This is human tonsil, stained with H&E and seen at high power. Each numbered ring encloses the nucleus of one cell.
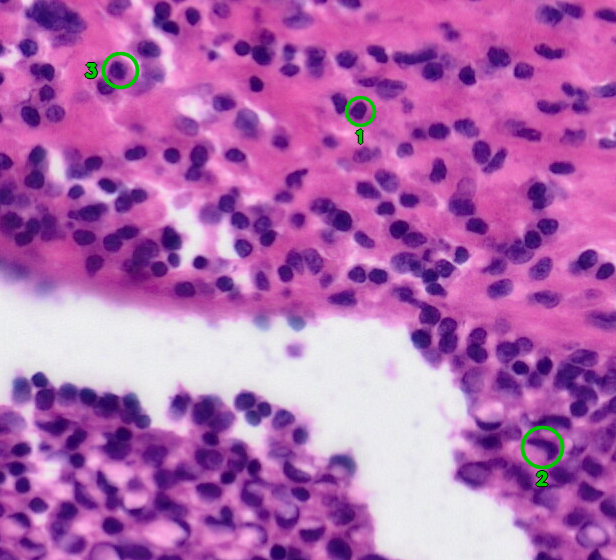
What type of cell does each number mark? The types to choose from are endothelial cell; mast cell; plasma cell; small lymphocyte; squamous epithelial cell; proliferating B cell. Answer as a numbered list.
1. plasma cell
2. squamous epithelial cell
3. plasma cell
